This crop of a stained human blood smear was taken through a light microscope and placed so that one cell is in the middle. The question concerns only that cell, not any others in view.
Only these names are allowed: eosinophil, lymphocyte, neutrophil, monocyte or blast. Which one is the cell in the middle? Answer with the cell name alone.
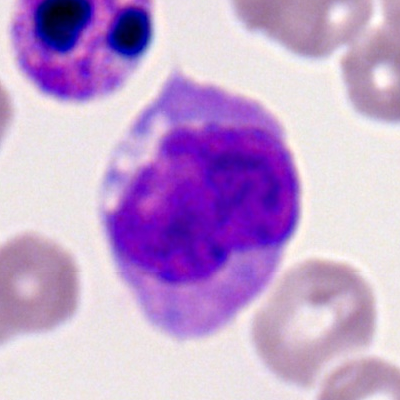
monocyte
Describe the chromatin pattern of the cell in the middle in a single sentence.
The nuclear chromatin is fine, showing no coarse aggregates.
